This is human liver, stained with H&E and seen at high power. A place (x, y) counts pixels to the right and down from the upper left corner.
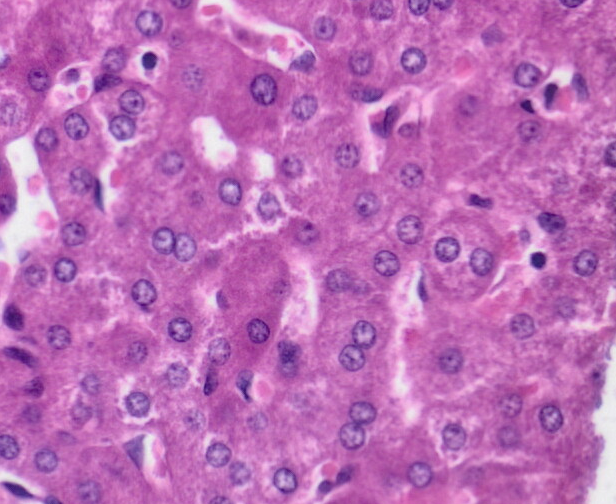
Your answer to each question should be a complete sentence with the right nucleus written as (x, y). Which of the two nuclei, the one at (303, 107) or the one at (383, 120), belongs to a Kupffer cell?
Of these two nuclei, it is the one at (383, 120) that belongs to a Kupffer cell.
